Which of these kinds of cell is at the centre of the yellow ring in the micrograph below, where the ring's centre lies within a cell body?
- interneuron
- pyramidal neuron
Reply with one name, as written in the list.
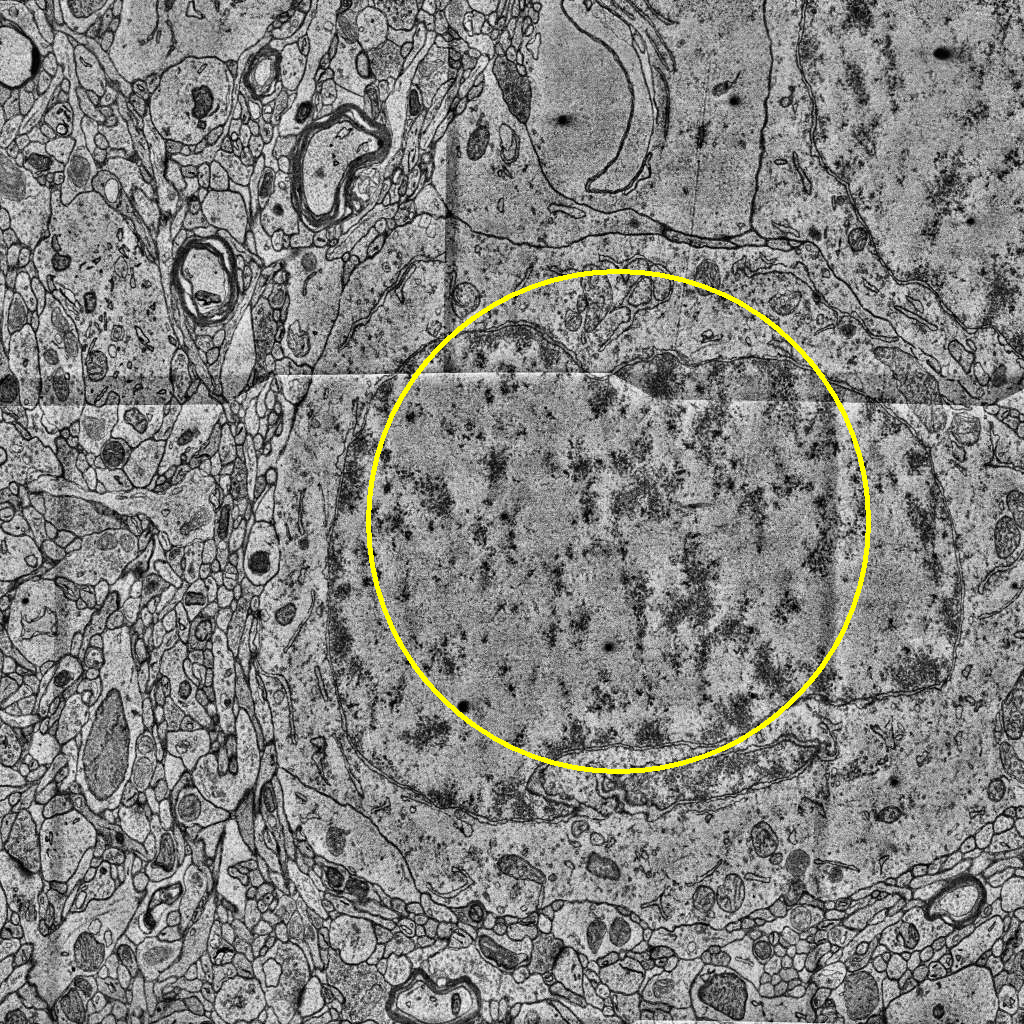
interneuron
